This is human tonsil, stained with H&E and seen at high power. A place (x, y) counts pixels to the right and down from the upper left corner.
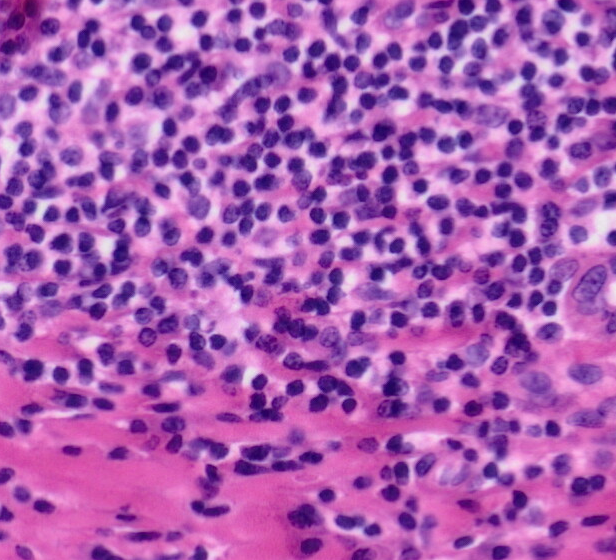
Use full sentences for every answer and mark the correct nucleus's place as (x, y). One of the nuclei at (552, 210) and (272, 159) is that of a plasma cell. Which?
It is the nucleus at (552, 210) that belongs to a plasma cell.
